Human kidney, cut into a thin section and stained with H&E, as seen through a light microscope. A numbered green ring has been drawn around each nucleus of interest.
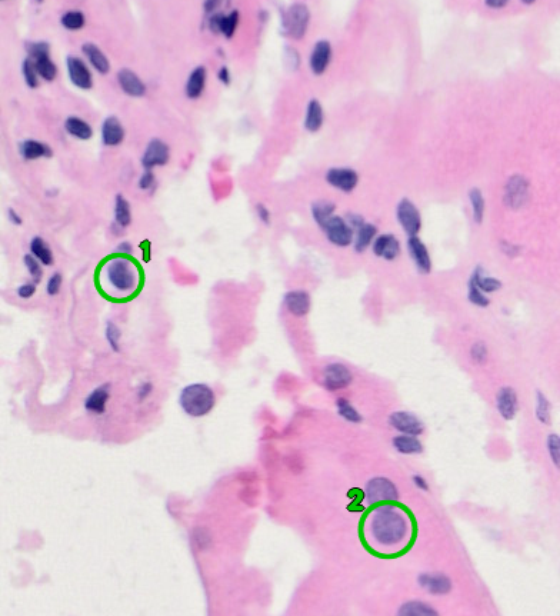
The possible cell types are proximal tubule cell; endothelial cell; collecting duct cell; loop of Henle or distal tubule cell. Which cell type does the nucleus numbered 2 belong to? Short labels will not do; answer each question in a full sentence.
The cell numbered 2 has been identified as a proximal tubule cell.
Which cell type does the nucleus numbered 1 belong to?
As for number 1, that cell is an endothelial cell.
